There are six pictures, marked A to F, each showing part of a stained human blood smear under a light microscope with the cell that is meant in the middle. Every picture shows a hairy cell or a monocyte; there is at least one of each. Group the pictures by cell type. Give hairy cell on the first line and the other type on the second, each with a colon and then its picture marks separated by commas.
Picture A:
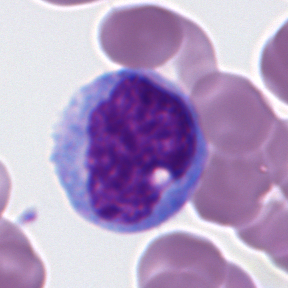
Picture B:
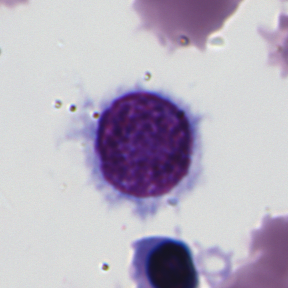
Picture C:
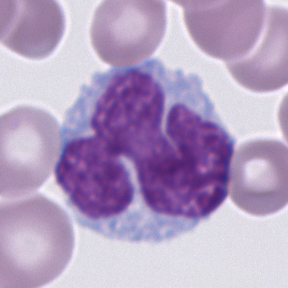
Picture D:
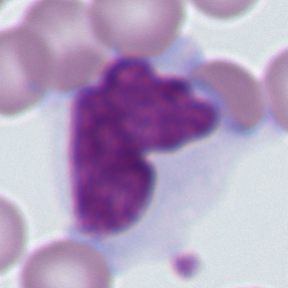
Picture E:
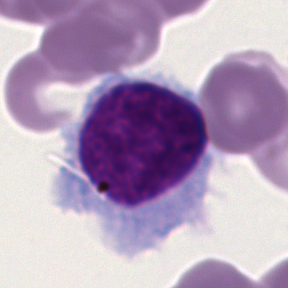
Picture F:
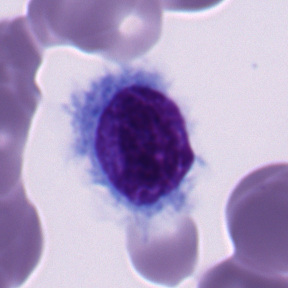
hairy cell: B, E, F
monocyte: A, C, D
